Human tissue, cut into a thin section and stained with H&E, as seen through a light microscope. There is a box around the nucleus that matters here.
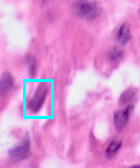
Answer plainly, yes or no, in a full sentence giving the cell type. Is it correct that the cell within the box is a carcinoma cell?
No, a carcinoma cell is not what the cell within the box is; it is a fibroblast.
